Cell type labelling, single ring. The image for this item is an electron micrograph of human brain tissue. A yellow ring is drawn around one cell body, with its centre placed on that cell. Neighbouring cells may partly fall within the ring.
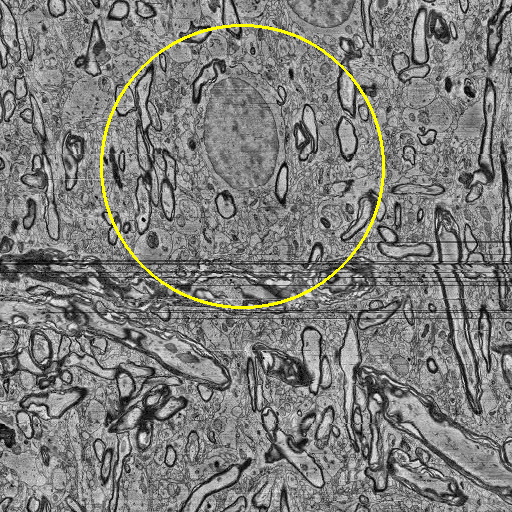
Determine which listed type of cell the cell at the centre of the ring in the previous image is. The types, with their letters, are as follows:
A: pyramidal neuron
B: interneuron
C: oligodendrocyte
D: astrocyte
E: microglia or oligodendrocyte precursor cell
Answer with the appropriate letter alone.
C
